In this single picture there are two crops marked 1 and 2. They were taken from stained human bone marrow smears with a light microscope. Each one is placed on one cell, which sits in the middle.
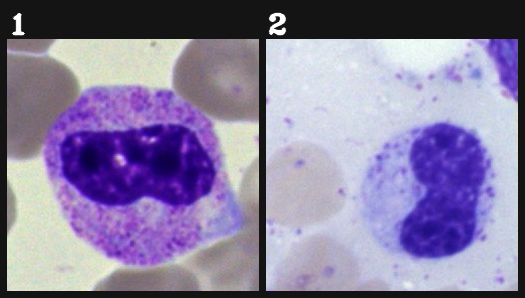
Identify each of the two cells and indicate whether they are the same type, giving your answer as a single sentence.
Yes, metamyelocytes are what the two crops show.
